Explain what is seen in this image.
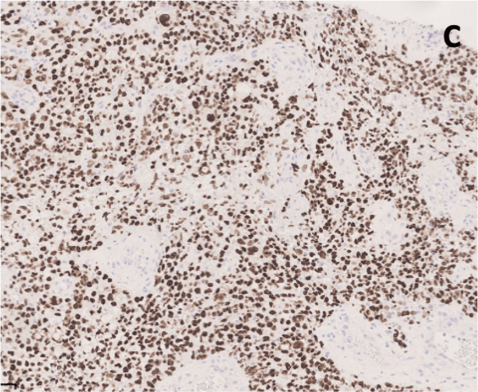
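This is a tumour made of densely packed sheets of tumour cells, nearly all with brown-stained nuclei. The nuclei are round to oval and vary in size and in how strongly they stain. Paler, lightly cellular areas that look like loose stroma or vessels break up the sheets. These paler areas have few stained nuclei.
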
